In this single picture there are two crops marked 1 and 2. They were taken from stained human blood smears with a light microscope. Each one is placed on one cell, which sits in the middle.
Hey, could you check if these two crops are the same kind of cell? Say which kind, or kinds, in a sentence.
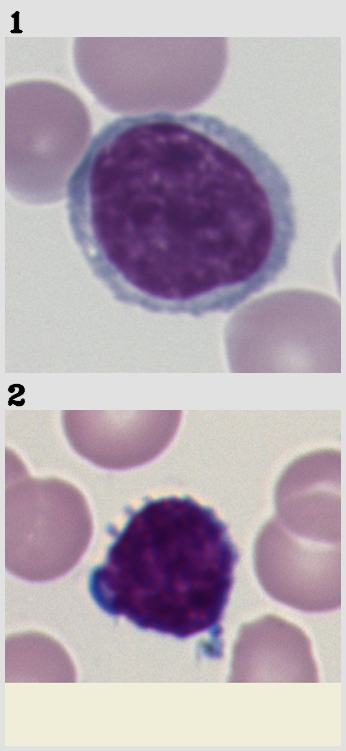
Yes, as for both crops, the cells shown are typical lymphocytes.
